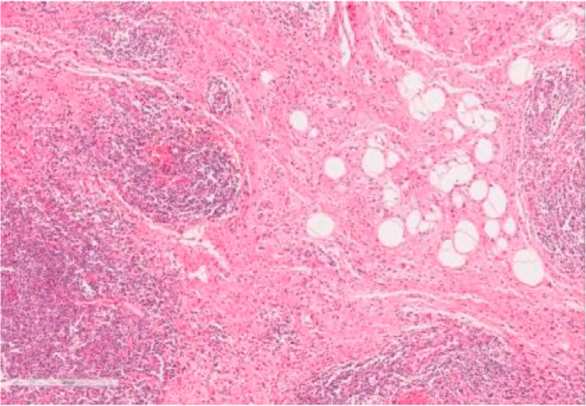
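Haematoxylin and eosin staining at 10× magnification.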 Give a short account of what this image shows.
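Fibrous tissue of pink collagen with scattered spindle nuclei surrounds several rounded nodules of lymphoid tissue. The nodules consist of densely packed small round dark purple nuclei and are fairly sharply demarcated from the stroma. A small cluster of clear fat vacuoles lies among the fibrous bands at the right.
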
